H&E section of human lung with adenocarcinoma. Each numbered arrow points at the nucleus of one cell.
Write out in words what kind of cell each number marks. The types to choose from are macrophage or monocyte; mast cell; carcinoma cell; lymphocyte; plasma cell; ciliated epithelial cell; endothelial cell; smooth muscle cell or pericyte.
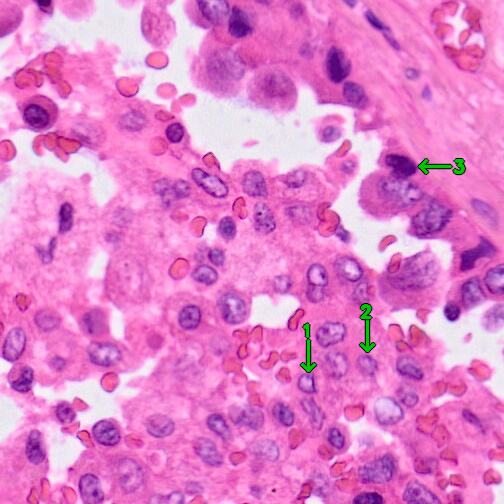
Cells 1 and 2 are macrophages or monocytes. Cell 3 is a carcinoma cell.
